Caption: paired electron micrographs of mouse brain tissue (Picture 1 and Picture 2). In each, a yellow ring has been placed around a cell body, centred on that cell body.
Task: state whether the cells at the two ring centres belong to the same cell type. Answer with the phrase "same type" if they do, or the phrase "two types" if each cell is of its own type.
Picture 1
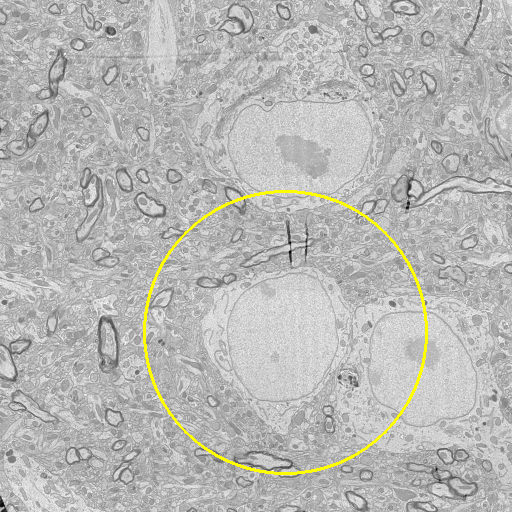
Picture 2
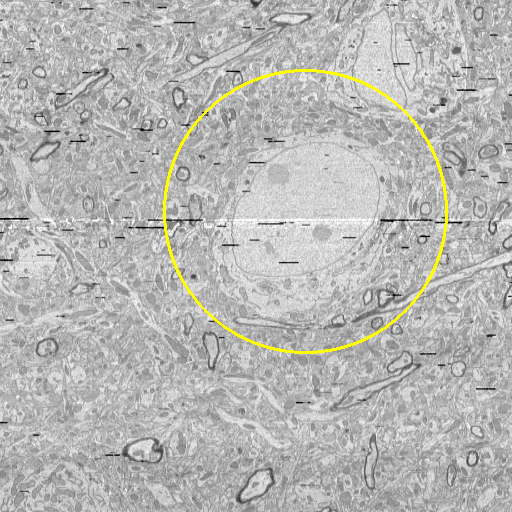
same type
